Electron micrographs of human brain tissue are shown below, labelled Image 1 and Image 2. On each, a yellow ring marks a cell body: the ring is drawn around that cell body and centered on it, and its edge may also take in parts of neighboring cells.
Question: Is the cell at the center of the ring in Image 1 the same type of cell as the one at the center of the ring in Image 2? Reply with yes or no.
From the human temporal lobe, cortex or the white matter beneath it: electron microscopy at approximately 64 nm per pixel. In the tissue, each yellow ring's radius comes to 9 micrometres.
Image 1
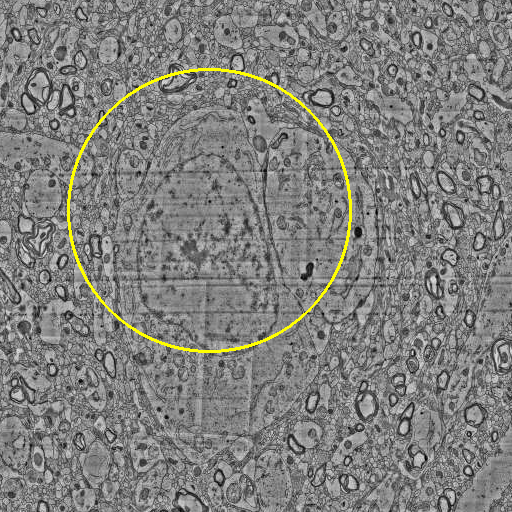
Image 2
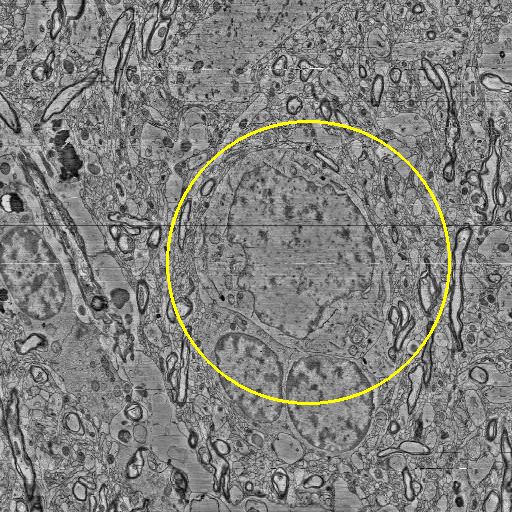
yes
